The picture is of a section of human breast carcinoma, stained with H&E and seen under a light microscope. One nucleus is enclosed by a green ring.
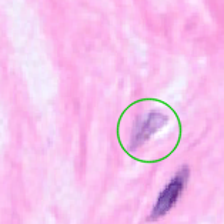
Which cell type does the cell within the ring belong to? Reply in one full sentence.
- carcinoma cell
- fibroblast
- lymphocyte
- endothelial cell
In the tissue under study, the cell within the ring is a fibroblast.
